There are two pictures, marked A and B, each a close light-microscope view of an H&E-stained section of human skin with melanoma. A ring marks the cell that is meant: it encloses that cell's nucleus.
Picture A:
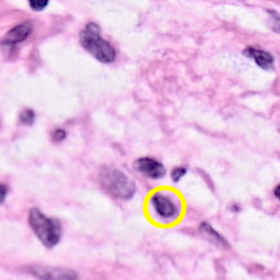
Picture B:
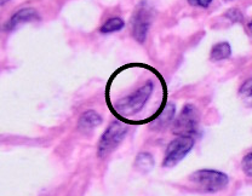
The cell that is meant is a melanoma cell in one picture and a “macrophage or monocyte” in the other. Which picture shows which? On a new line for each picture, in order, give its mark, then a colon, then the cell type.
A: macrophage or monocyte
B: melanoma cell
